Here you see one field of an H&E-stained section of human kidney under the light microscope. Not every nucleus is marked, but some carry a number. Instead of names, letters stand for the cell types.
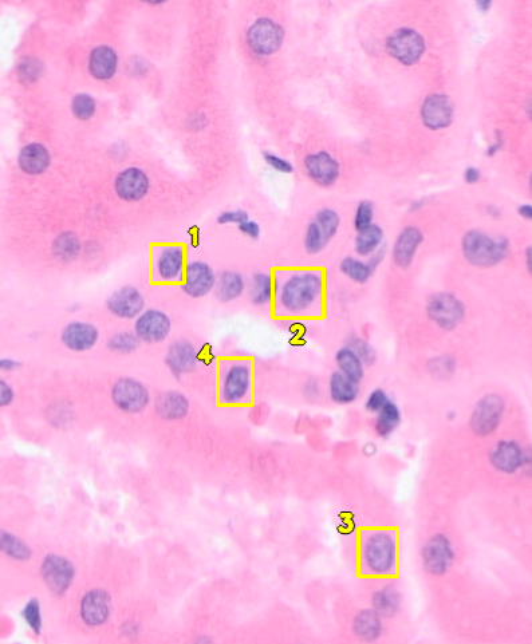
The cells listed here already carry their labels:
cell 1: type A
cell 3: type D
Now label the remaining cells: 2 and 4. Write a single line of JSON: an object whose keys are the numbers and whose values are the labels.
{"2": "type A", "4": "type A"}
